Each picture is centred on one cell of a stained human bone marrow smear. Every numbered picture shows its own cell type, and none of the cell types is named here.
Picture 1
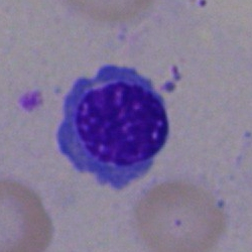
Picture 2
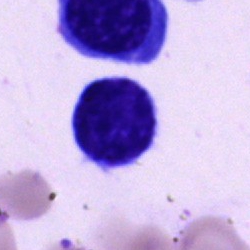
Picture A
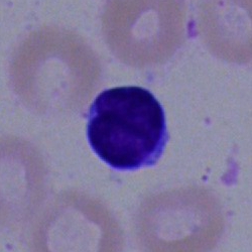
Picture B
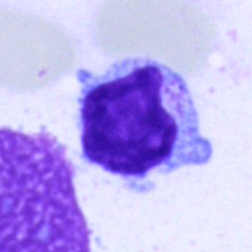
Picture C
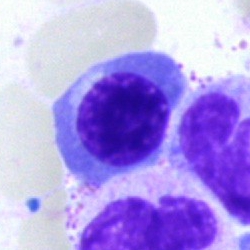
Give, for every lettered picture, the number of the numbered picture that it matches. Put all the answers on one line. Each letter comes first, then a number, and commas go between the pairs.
A 2, B 2, C 1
